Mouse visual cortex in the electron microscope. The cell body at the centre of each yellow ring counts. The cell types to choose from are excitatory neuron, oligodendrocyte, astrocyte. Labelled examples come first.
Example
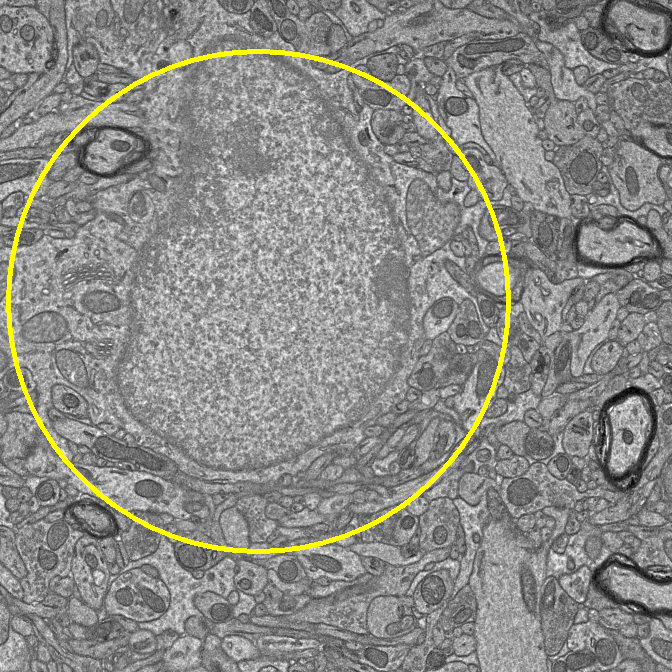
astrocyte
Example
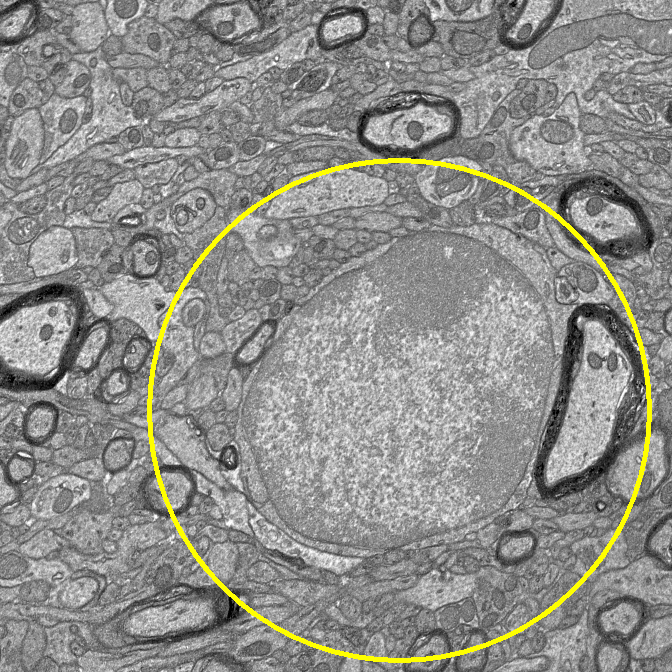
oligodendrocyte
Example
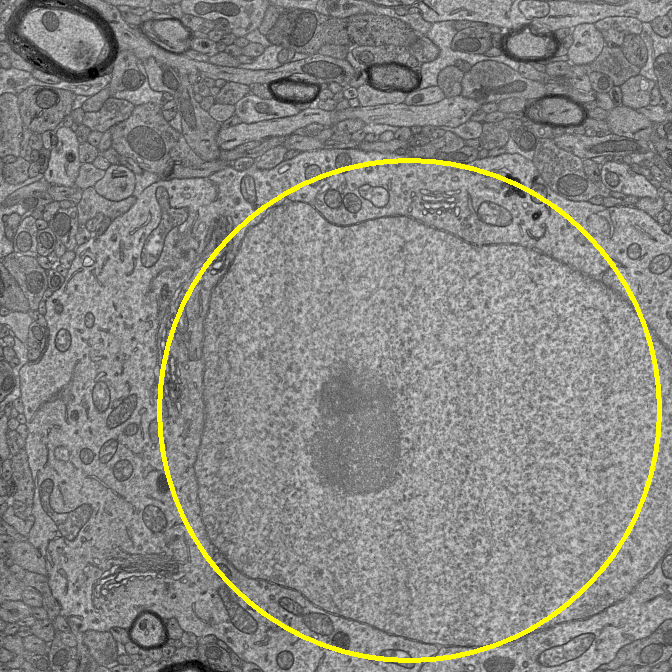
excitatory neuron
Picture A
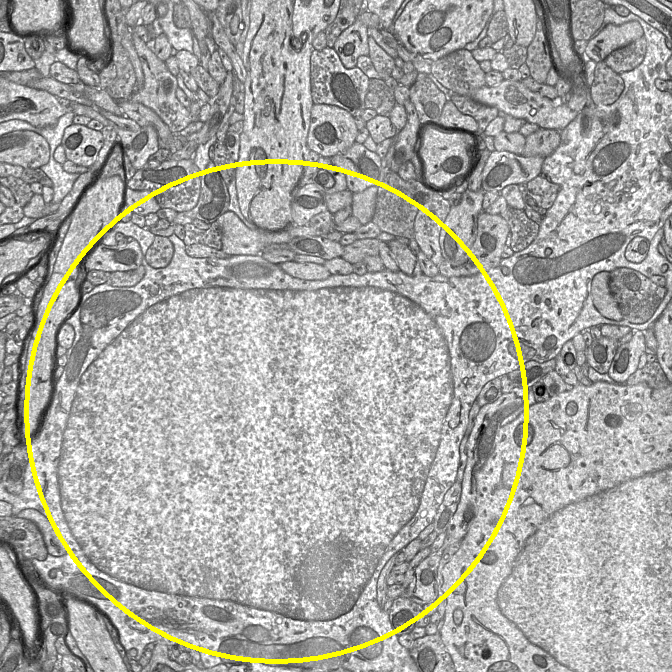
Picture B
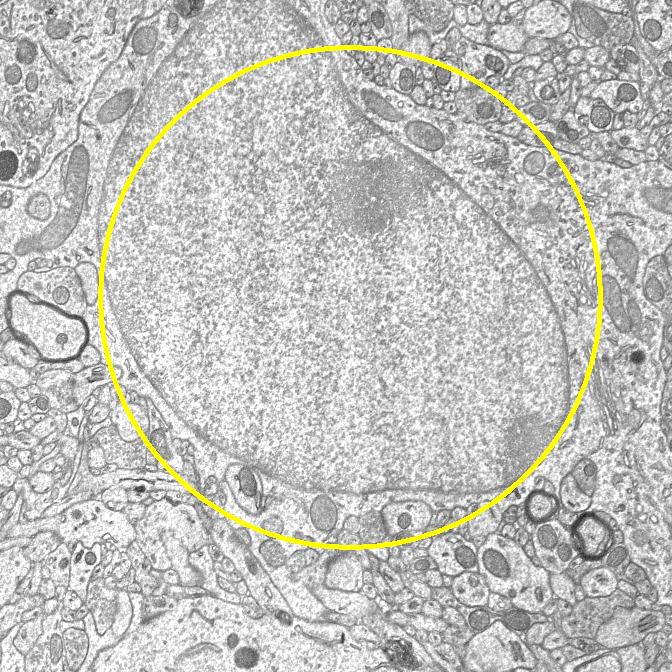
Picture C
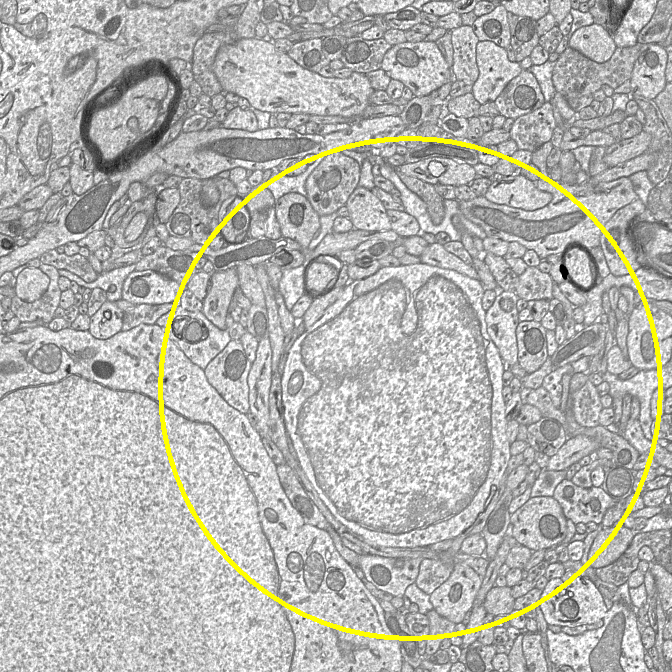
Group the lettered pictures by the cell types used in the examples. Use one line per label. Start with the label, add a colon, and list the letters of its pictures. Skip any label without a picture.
oligodendrocyte: C
astrocyte: A, B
